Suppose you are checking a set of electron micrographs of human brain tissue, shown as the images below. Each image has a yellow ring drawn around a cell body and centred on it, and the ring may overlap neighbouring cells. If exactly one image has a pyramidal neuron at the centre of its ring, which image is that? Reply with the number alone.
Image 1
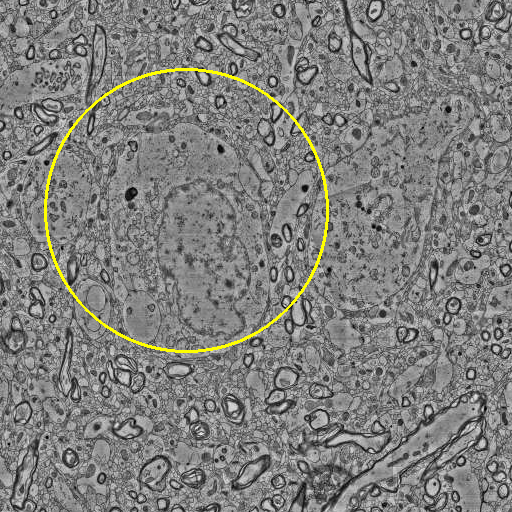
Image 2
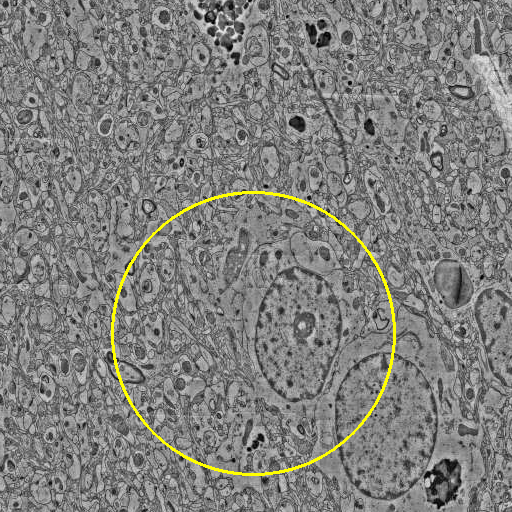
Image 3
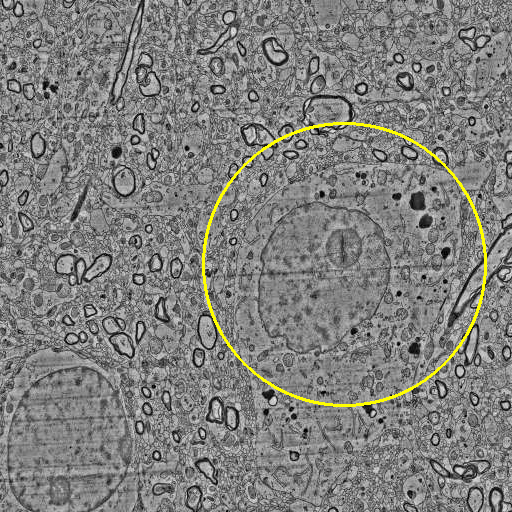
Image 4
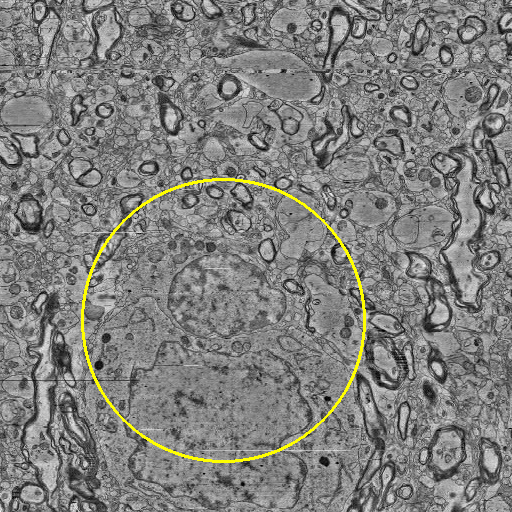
3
